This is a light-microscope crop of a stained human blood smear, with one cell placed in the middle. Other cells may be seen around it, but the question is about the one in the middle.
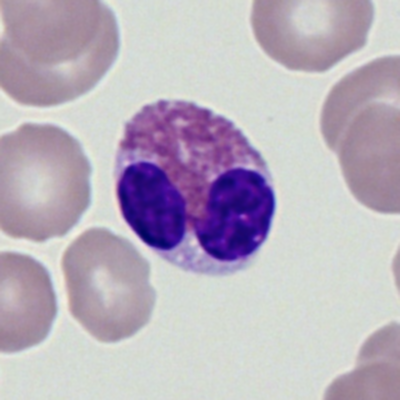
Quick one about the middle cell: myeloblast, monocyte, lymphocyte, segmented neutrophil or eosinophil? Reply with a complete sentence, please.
The cell positioned in the middle of the field is an eosinophil.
